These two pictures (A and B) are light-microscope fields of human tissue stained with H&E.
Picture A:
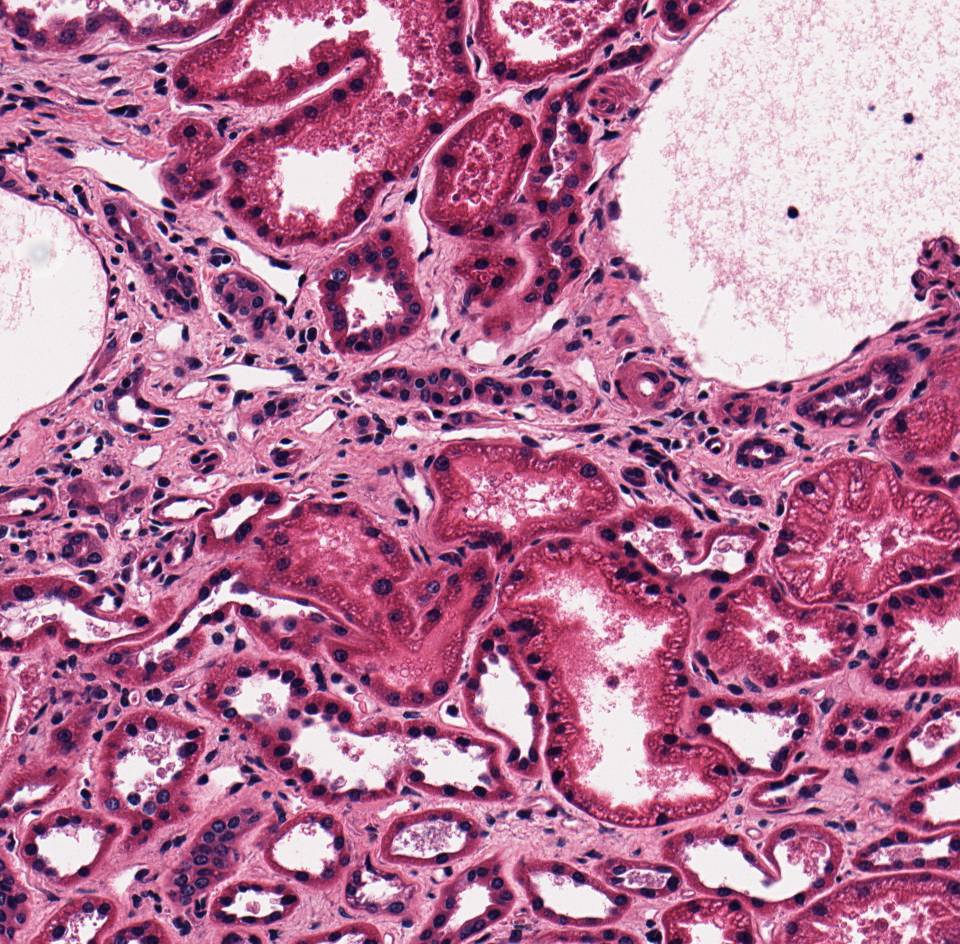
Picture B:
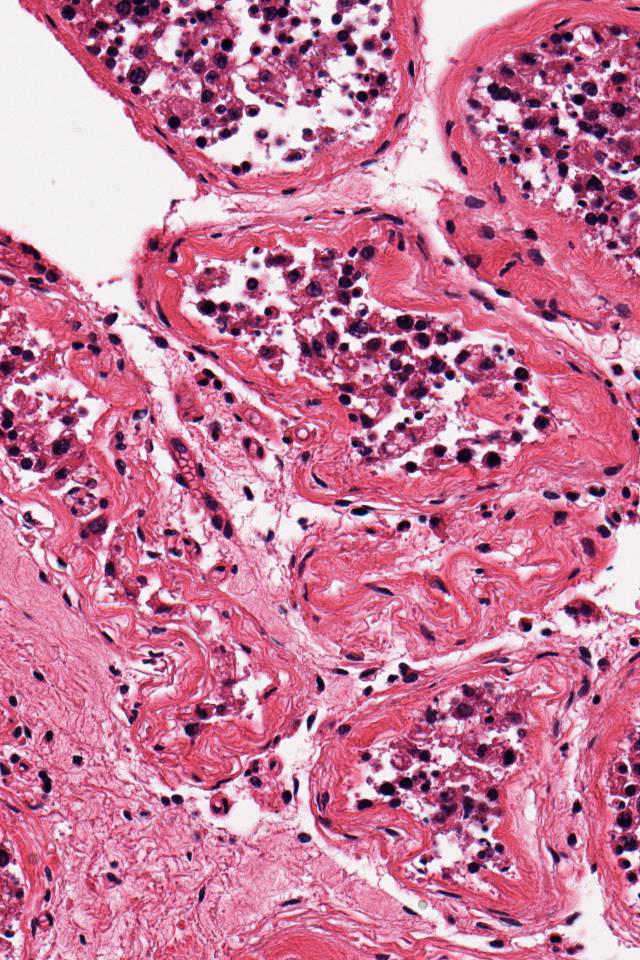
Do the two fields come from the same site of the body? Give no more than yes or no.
no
